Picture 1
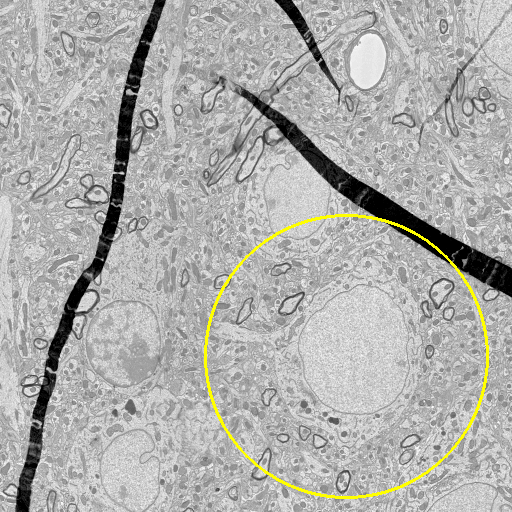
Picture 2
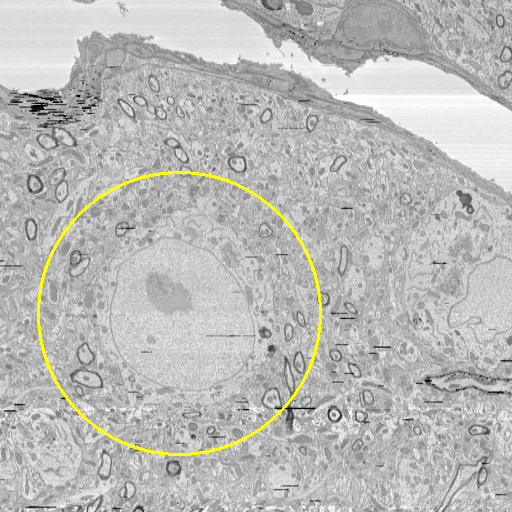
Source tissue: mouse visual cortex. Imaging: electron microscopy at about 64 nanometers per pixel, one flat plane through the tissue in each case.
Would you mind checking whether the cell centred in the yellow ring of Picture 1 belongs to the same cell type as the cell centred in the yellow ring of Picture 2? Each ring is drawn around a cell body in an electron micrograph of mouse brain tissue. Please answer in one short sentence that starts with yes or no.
Yes, both cells are of the same type.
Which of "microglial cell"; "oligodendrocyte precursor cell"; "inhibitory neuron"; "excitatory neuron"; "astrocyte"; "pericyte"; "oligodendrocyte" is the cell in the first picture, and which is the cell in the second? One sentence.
Both cells are the same kind, each one being an excitatory neuron.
